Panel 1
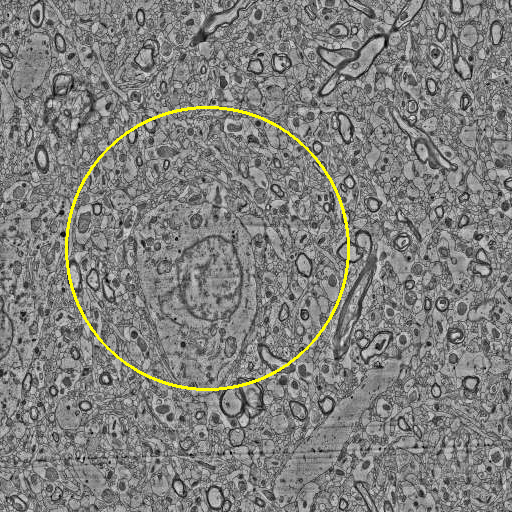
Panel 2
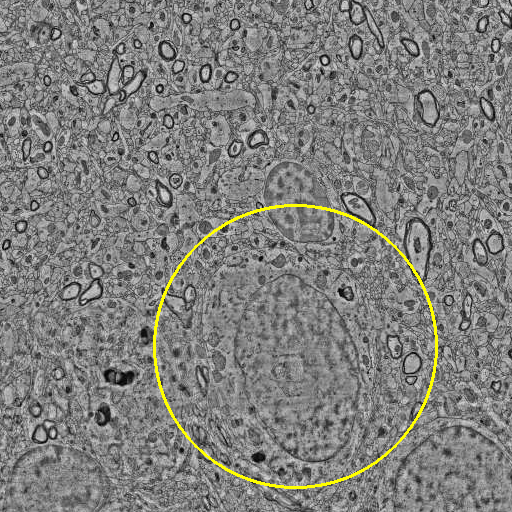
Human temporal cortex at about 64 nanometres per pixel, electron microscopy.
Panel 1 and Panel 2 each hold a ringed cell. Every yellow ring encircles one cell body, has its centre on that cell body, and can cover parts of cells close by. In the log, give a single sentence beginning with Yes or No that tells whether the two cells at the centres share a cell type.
Yes, in Panel 1 and Panel 2 the centred cells share a cell type.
